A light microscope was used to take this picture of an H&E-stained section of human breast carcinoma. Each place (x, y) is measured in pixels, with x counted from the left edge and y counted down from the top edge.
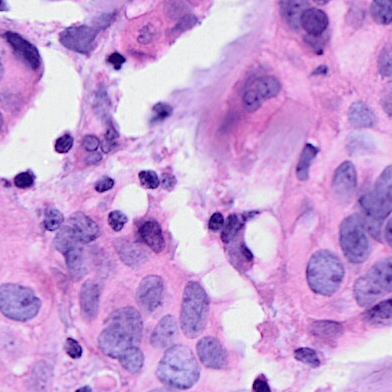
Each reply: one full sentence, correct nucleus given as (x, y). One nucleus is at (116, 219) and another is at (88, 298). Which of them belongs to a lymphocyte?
The nucleus at (116, 219) is the member of the pair belonging to a lymphocyte.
